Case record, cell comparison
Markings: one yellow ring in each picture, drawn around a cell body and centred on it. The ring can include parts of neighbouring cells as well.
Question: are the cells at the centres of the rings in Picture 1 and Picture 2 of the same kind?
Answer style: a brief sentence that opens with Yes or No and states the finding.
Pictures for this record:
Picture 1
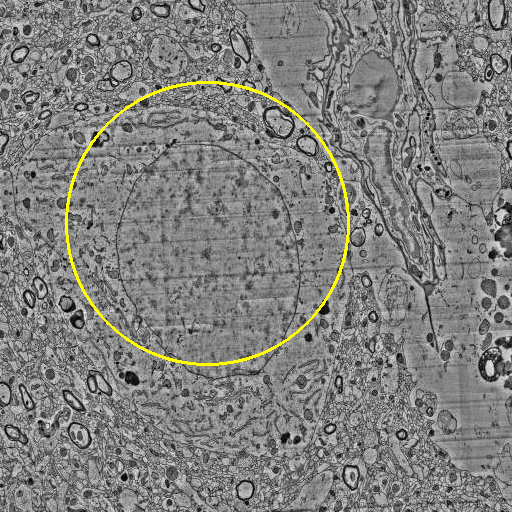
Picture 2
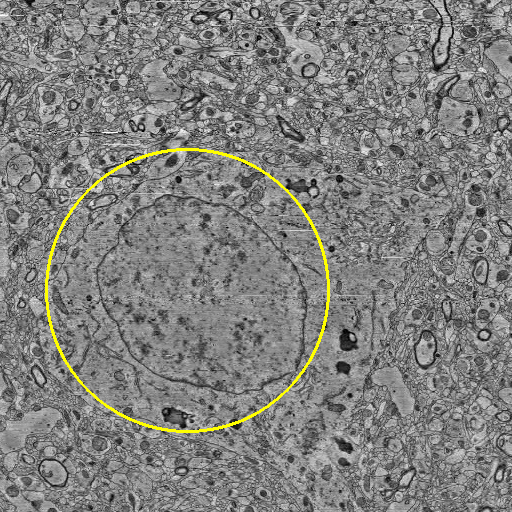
Yes, the cells in Picture 1 and Picture 2 are of the same kind.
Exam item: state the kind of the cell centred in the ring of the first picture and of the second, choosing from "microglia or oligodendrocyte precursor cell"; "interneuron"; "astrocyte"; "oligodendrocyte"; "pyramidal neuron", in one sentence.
In each of the two pictures, the ringed cell is a pyramidal neuron.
